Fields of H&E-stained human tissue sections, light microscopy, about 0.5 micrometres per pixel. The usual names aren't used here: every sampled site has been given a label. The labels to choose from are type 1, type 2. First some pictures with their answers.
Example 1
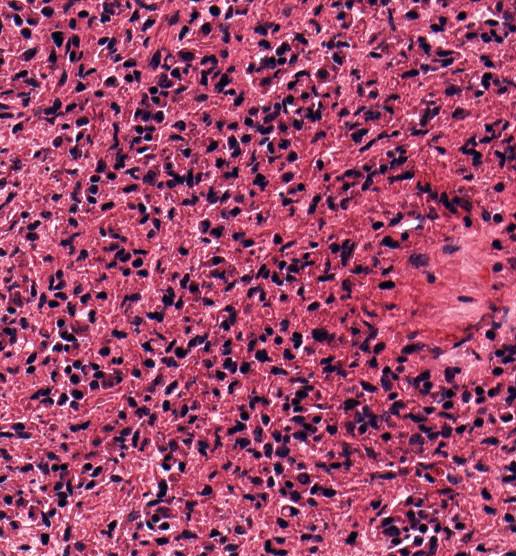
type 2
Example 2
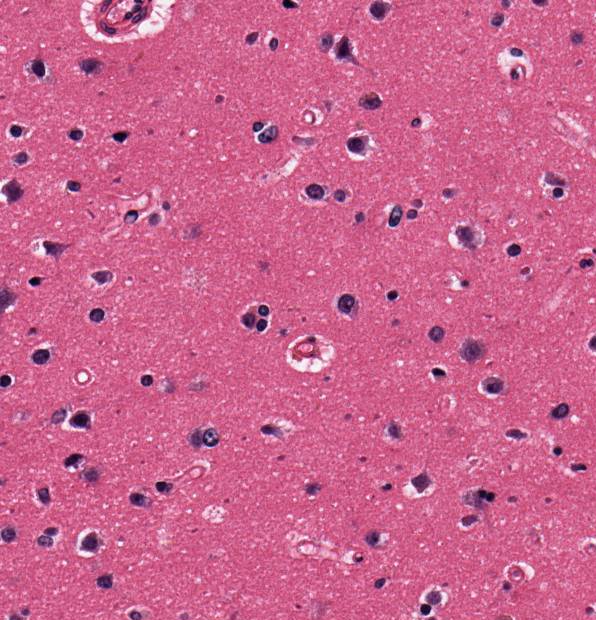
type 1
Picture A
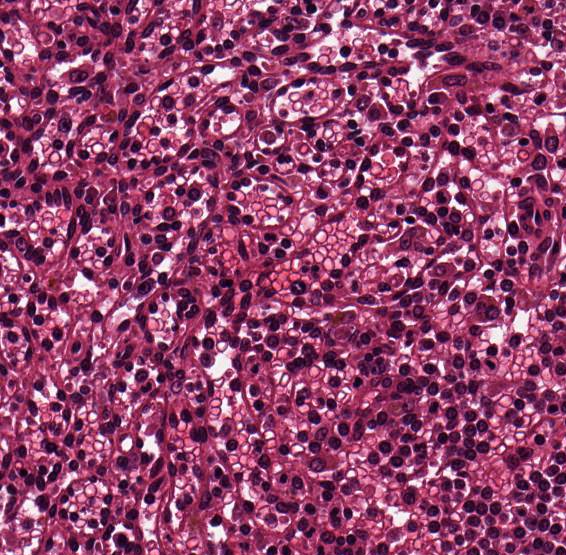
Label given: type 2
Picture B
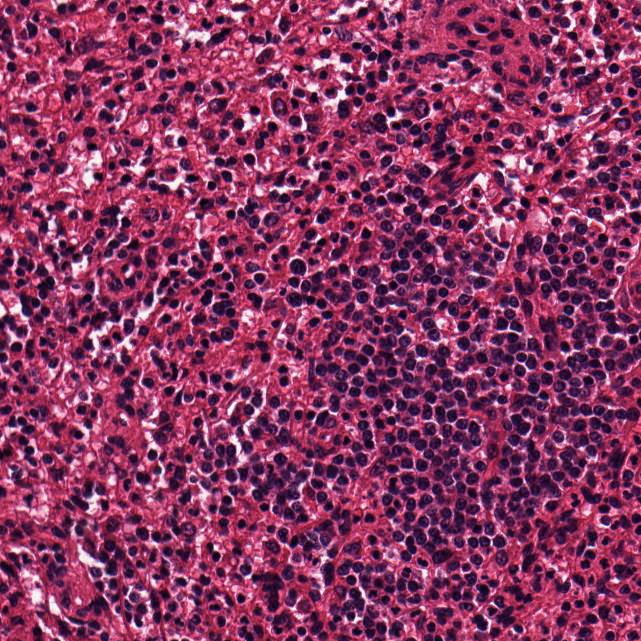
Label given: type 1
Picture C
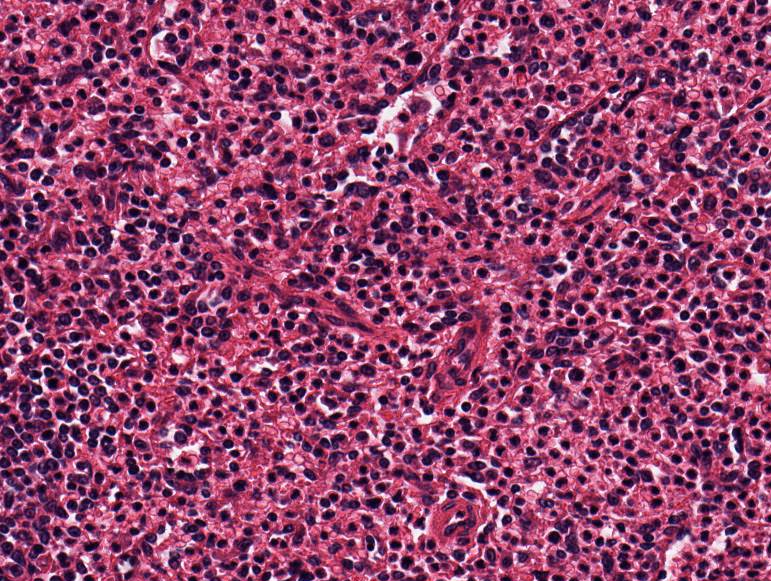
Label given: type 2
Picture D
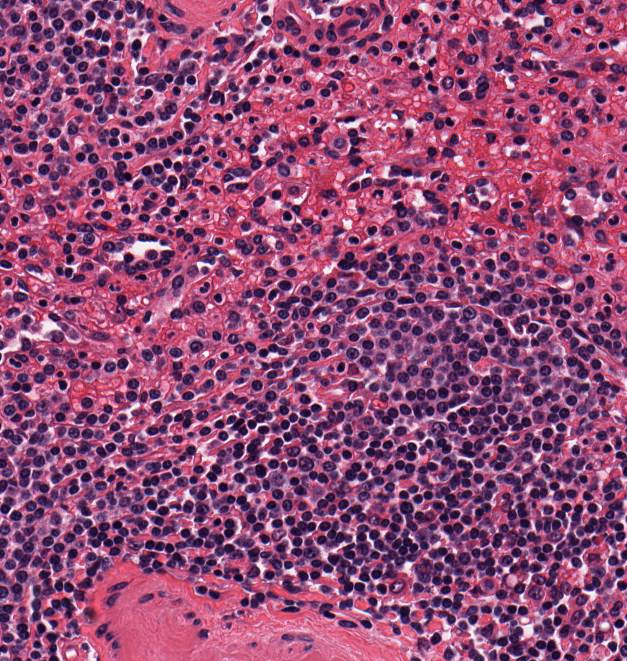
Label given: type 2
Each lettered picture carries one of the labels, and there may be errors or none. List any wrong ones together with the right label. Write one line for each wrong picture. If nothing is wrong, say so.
B: type 2, not type 1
